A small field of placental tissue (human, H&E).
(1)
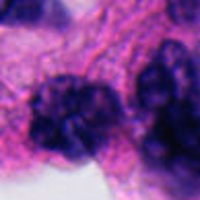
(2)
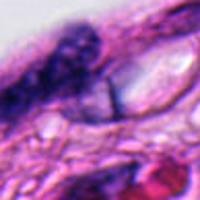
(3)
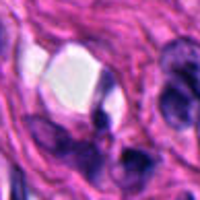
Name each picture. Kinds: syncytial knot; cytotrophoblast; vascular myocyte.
1. syncytial knot
2. cytotrophoblast
3. vascular myocyte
